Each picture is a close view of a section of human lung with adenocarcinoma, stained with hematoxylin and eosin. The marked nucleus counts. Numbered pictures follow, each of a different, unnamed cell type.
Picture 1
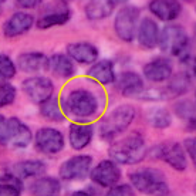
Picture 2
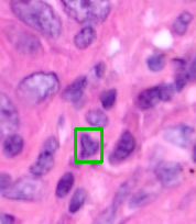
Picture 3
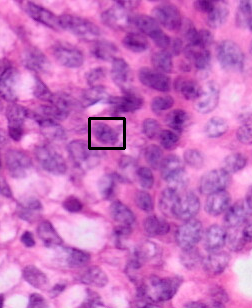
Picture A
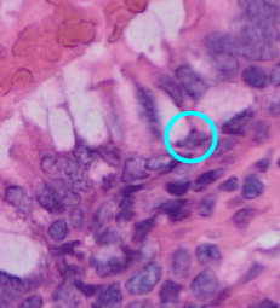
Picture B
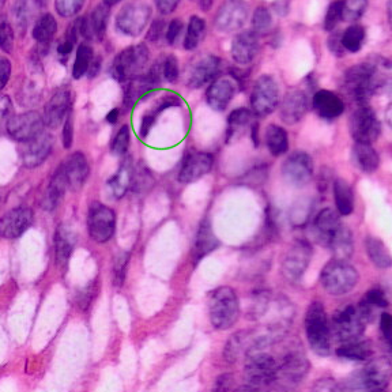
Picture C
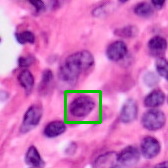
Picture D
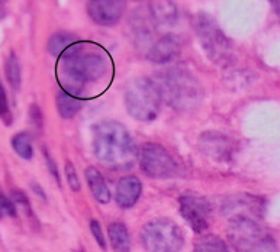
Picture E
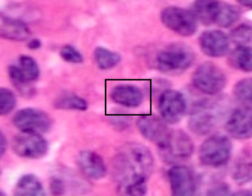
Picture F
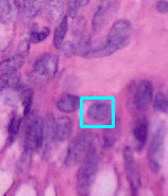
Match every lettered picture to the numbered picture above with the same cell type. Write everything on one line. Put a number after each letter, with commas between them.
A 3, B 3, C 2, D 3, E 1, F 3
